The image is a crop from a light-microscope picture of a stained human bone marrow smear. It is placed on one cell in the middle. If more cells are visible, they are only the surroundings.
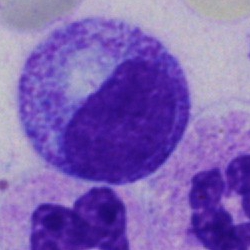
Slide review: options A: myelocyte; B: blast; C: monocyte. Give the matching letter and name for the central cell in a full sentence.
Option A holds, for the cell in the middle is a myelocyte.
